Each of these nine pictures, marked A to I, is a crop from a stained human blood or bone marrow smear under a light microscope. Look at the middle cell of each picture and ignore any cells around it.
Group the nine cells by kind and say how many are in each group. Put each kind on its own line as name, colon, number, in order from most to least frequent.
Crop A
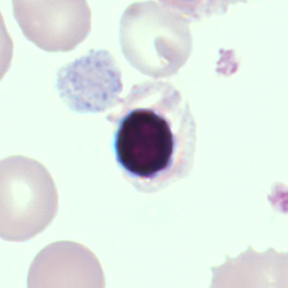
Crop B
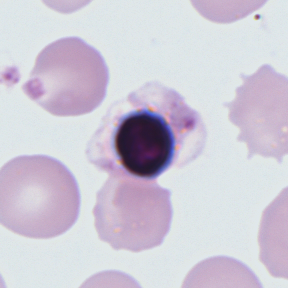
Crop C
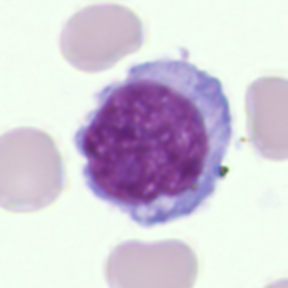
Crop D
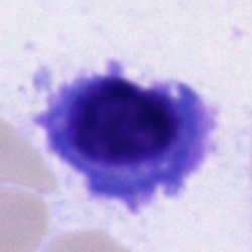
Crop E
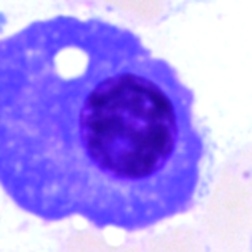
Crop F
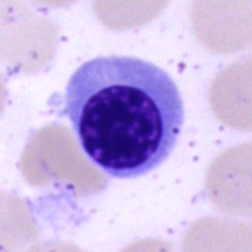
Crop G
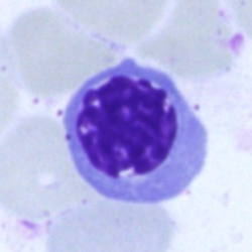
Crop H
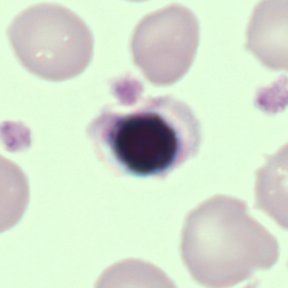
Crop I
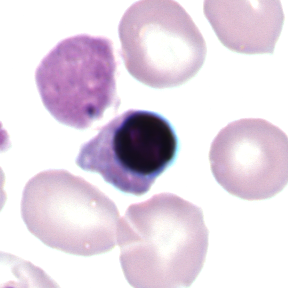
normoblast: 6
plasma cell: 3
